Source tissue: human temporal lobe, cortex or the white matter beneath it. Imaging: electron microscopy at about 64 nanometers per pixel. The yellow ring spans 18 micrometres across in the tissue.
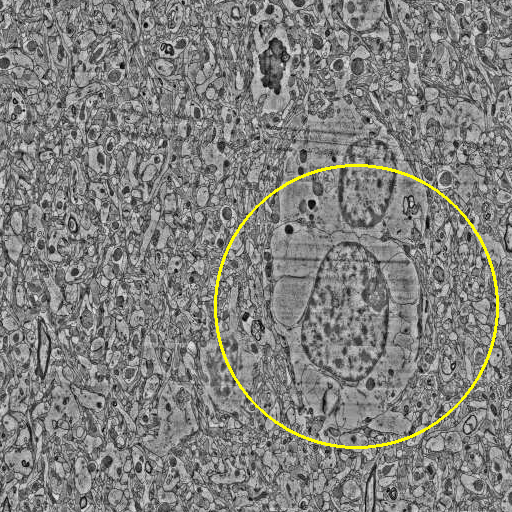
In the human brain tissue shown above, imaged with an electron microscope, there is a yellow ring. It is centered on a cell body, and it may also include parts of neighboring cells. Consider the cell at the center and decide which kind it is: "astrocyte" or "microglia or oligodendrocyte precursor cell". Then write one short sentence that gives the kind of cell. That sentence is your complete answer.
This centered cell body is that of an astrocyte.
